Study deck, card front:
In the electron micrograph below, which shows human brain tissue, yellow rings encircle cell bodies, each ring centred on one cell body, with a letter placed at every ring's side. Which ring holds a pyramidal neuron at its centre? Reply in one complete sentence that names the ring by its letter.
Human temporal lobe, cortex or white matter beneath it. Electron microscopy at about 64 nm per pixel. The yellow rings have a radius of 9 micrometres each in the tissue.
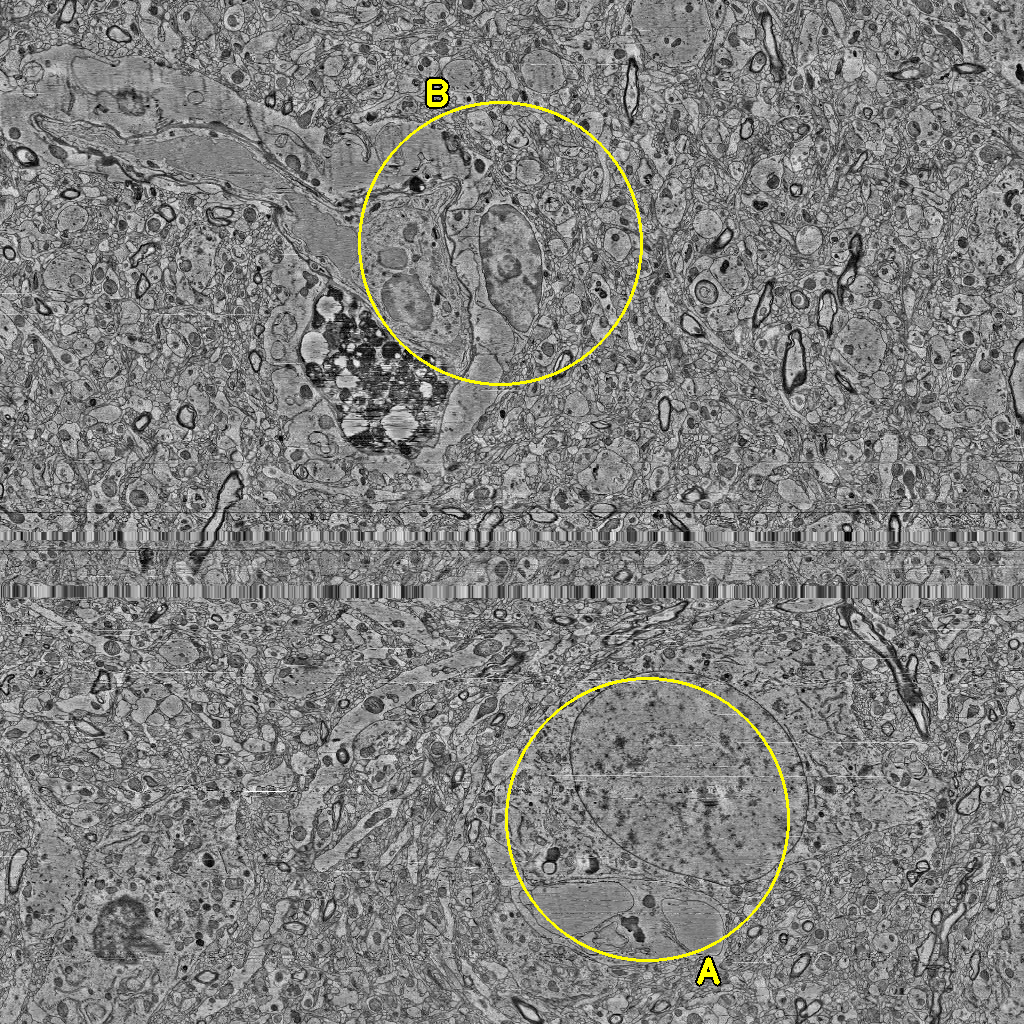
The cell asked for sits at the centre of ring A in the picture.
